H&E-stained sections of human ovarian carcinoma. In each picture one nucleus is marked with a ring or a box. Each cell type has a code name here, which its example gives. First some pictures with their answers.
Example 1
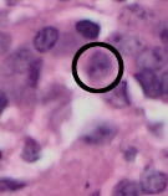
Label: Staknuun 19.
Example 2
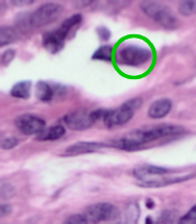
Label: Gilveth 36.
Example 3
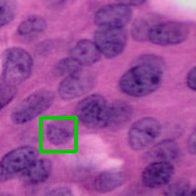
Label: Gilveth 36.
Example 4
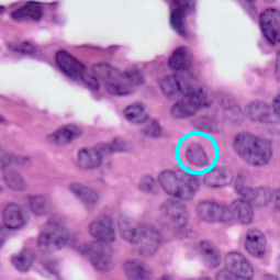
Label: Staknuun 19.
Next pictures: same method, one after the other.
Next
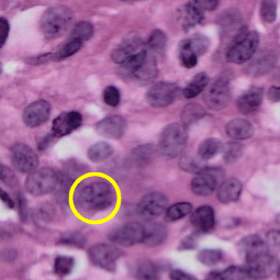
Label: Gilveth 36.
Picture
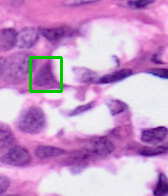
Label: Gilveth 36.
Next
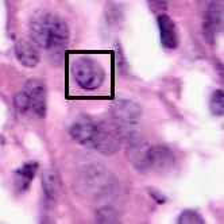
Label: Staknuun 19.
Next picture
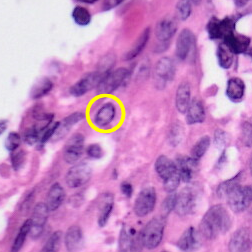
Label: Staknuun 19.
